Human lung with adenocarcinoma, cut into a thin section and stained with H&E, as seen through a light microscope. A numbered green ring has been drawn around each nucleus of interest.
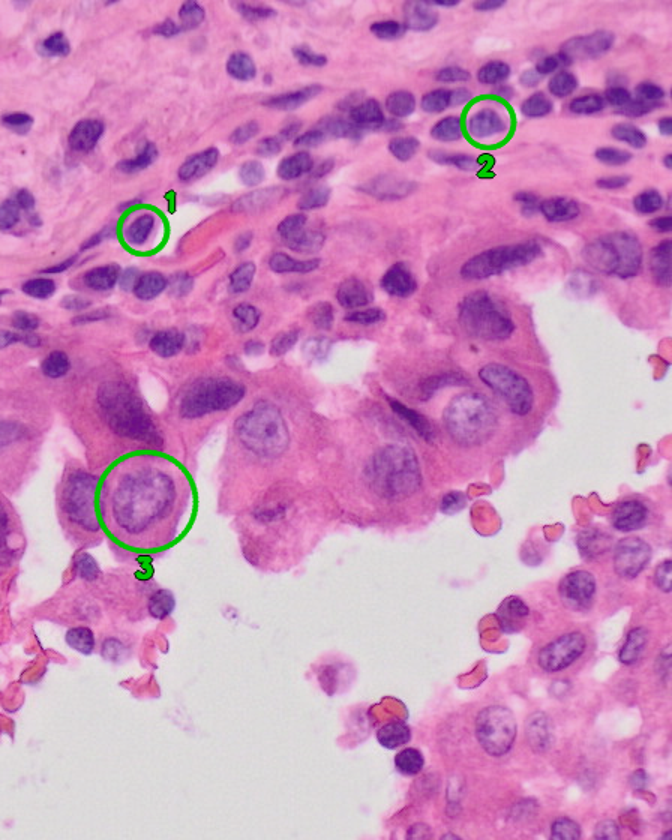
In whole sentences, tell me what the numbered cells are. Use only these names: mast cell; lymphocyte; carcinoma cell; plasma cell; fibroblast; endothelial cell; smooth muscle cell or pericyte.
Cells 1 and 2 are lymphocytes. Cell 3 is a carcinoma cell.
